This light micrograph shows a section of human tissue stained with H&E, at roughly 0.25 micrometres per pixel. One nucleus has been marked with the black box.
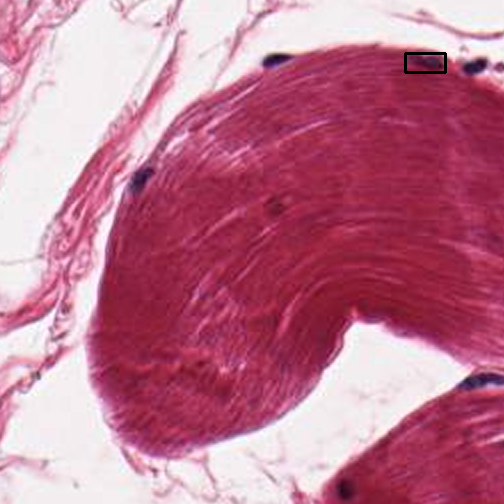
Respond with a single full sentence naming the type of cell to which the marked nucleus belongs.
The marked nucleus sits within a skeletal muscle fibre.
